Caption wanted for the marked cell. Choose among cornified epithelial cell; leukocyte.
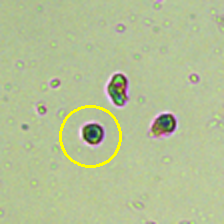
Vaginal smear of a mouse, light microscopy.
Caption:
Ringed in yellow is a leukocyte.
